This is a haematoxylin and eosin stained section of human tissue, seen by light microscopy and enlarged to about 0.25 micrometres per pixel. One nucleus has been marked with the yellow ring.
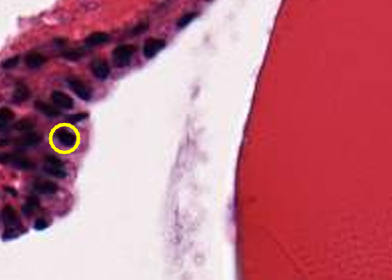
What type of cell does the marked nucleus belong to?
thyroid follicular cell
